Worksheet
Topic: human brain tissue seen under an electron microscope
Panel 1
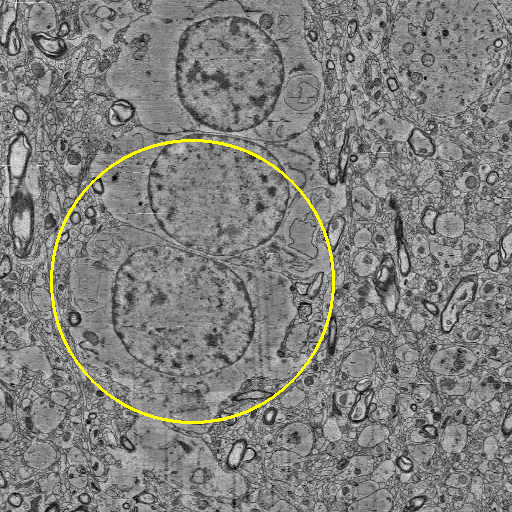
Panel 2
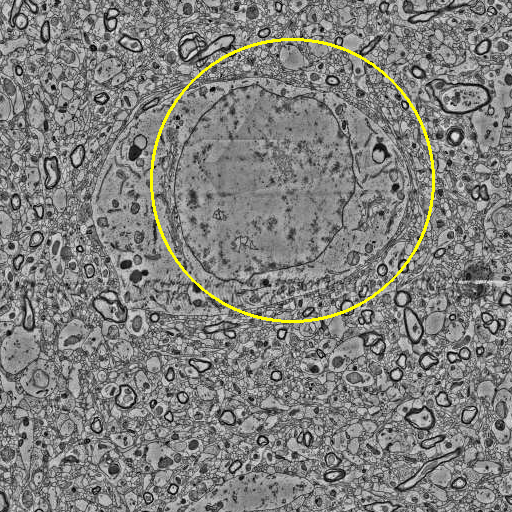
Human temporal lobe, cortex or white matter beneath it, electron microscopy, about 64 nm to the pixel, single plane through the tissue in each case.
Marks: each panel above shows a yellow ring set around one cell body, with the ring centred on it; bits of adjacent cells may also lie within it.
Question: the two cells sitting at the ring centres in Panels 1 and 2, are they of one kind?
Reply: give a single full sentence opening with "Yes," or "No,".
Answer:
No, the two ring-centre cells in Panel 1 and Panel 2 are of two kinds.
